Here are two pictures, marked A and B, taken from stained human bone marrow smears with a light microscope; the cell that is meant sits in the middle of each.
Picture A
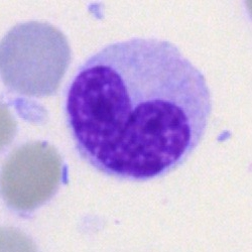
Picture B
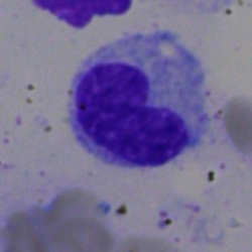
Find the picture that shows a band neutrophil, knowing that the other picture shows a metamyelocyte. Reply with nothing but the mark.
A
